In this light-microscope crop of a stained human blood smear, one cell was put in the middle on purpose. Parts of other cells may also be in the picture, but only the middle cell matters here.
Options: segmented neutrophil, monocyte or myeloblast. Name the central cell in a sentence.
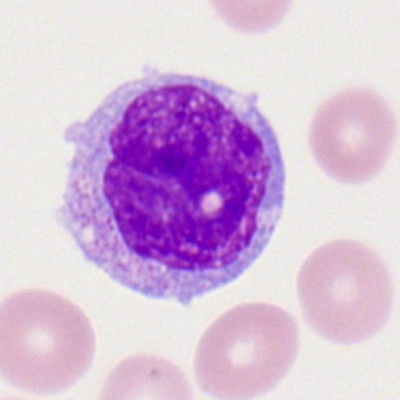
The target cell in the middle of the crop is a monocyte.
